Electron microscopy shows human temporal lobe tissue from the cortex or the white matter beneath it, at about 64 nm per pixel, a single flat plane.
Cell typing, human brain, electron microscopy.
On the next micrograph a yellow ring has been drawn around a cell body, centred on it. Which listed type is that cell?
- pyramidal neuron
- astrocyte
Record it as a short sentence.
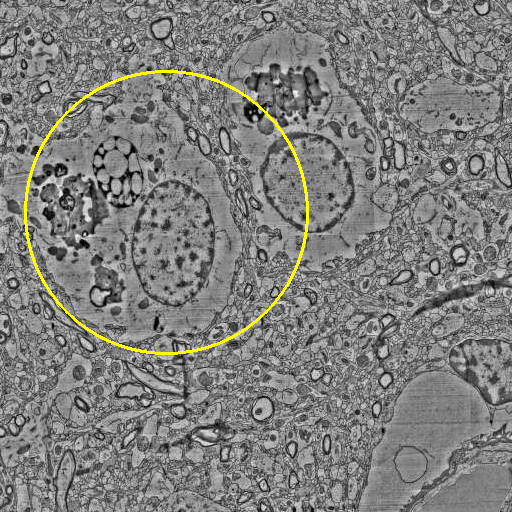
The cell body in the ring's centre belongs to an astrocyte.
